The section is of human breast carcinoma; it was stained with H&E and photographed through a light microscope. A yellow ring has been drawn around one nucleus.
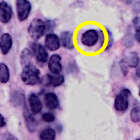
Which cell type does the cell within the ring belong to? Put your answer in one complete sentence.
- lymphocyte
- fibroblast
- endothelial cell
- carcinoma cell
Within this tissue, the cell within the ring is a lymphocyte.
